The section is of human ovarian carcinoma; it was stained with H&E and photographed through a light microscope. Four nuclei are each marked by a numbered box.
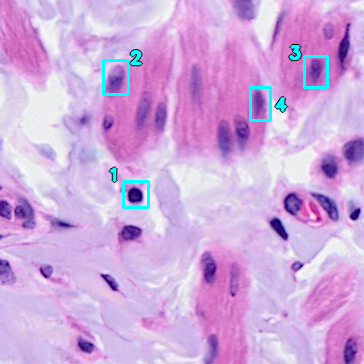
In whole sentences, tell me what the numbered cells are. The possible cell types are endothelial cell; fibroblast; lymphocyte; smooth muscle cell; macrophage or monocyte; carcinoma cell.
Cell 1 is a lymphocyte, cell 2 is a smooth muscle cell, cell 3 is a smooth muscle cell and cell 4 is a smooth muscle cell.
